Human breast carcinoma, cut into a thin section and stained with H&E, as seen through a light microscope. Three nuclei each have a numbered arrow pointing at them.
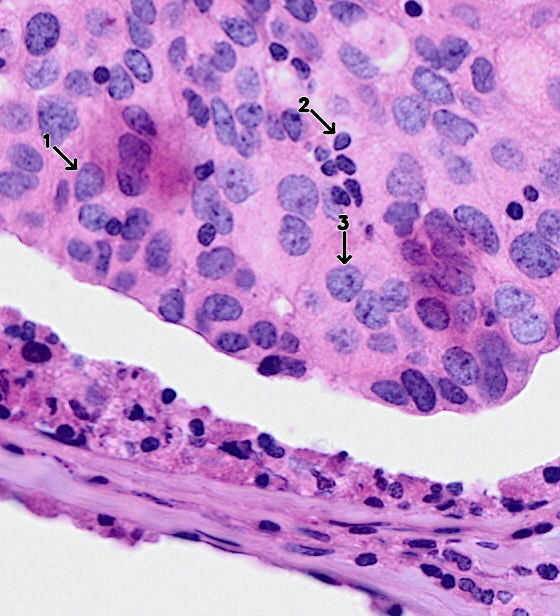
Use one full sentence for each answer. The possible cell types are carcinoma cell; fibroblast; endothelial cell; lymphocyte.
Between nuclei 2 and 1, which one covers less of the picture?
It is nucleus 2; nucleus 1 has about 3 times its area.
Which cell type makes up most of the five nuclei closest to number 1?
Carcinoma cells make up most of the five nuclei closest to number 1.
